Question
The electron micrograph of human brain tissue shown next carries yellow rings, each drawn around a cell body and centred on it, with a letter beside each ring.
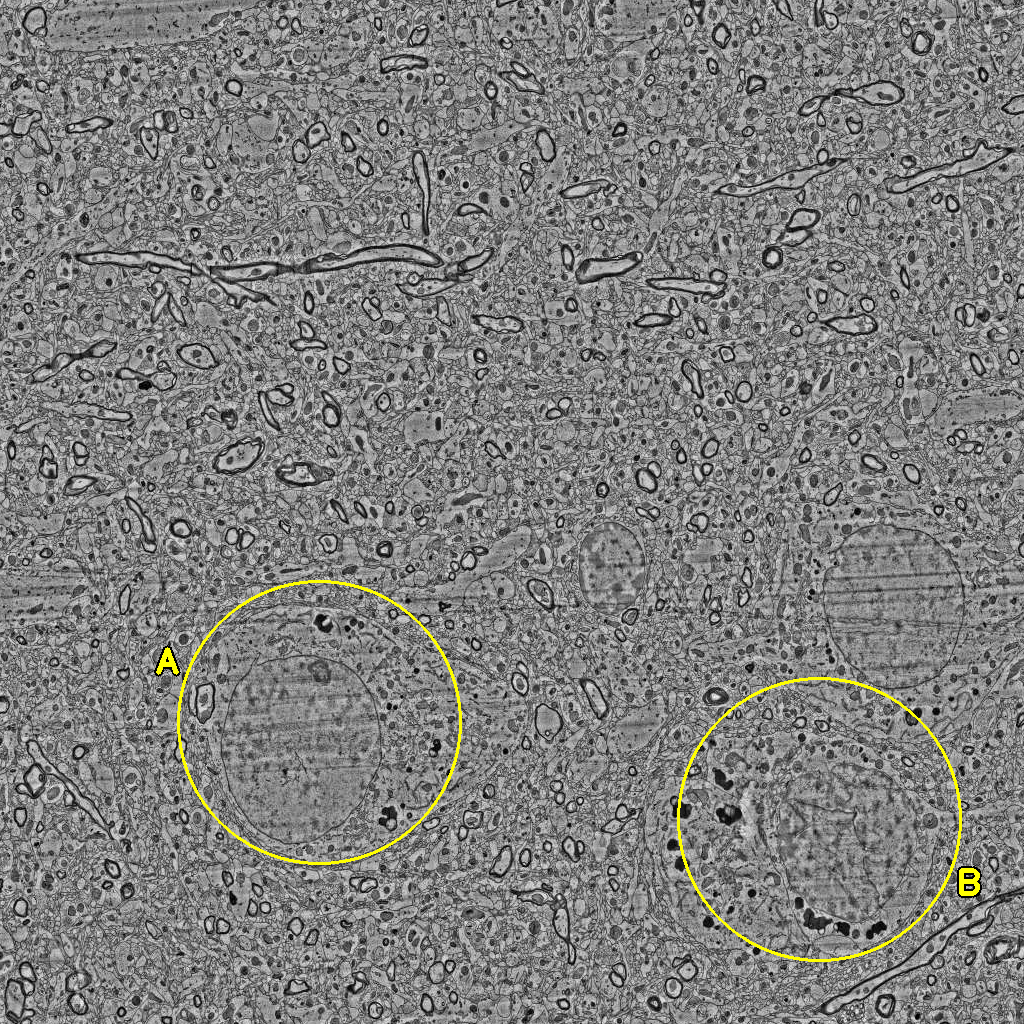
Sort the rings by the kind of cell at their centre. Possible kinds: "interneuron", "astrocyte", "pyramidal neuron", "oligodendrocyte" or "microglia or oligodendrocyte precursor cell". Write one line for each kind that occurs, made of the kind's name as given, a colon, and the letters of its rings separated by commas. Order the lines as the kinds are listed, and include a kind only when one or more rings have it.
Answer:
interneuron: B
pyramidal neuron: A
